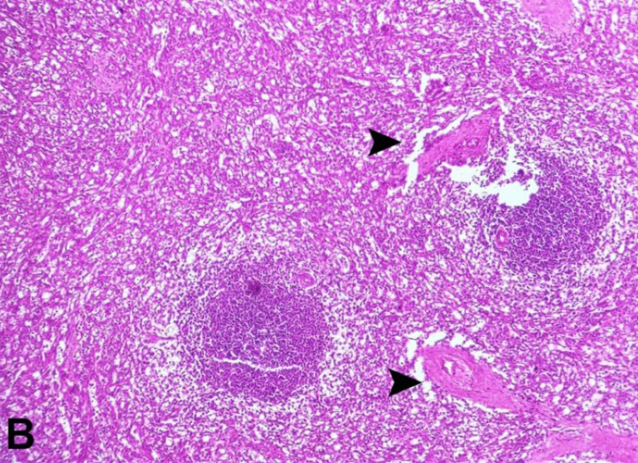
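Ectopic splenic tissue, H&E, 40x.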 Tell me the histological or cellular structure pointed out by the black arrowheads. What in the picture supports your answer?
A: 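The arrowheads point to eosinophilic fibrous bands. The bands lie beside the dense round lymphoid nodules.
Answer: trabeculae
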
